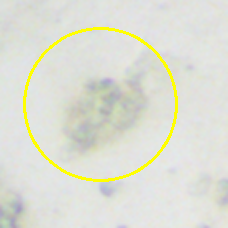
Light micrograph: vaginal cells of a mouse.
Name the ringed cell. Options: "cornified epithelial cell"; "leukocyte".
cornified epithelial cell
